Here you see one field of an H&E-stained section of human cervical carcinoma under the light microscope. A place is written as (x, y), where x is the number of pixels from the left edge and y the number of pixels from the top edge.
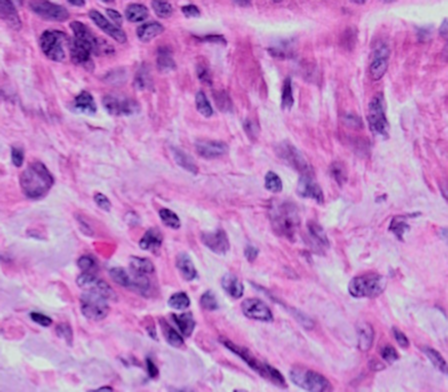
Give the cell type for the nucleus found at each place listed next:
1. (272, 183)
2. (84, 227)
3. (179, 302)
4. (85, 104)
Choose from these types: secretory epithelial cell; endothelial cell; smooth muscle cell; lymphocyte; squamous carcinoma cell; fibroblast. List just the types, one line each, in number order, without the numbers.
lymphocyte
endothelial cell
lymphocyte
lymphocyte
